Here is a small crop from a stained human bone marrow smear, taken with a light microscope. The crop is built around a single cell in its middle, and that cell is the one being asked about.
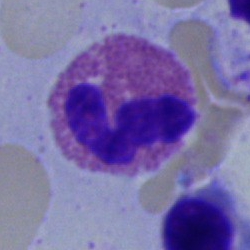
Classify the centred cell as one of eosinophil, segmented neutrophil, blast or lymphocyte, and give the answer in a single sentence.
Of the cells in this crop, the central one is an eosinophil.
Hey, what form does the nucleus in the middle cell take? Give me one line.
The nuclear outline breaks up into two or more lobes.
